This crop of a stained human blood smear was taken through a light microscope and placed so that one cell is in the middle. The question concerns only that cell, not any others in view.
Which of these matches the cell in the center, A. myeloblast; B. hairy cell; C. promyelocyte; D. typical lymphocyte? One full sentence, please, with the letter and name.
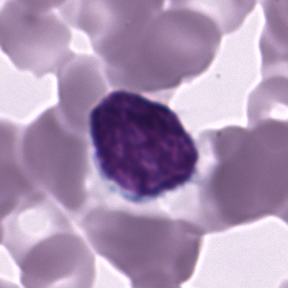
Option D is accurate; the centrally placed cell is a typical lymphocyte.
